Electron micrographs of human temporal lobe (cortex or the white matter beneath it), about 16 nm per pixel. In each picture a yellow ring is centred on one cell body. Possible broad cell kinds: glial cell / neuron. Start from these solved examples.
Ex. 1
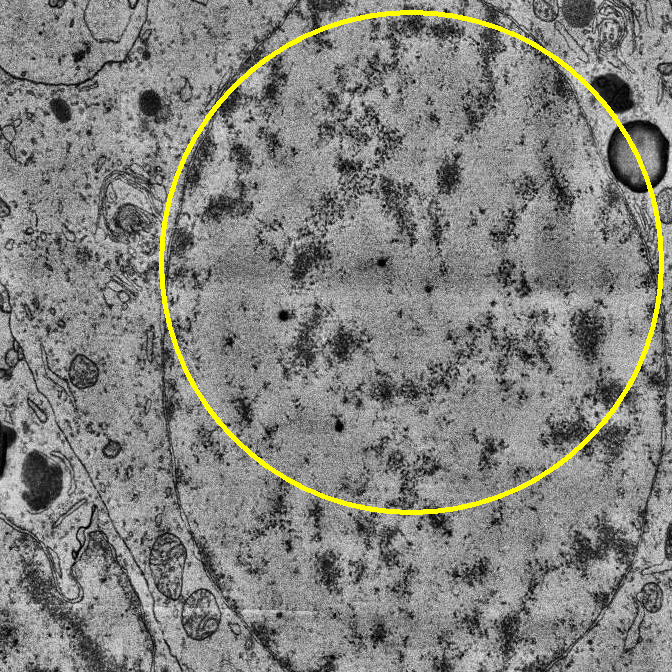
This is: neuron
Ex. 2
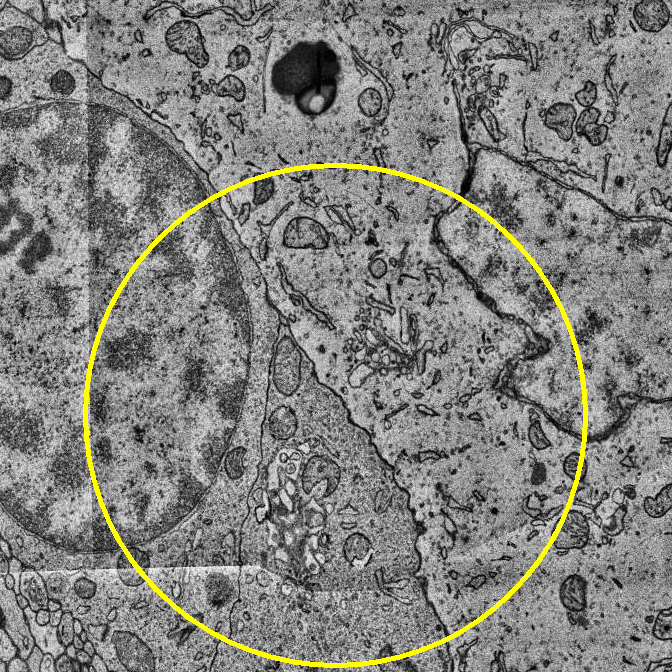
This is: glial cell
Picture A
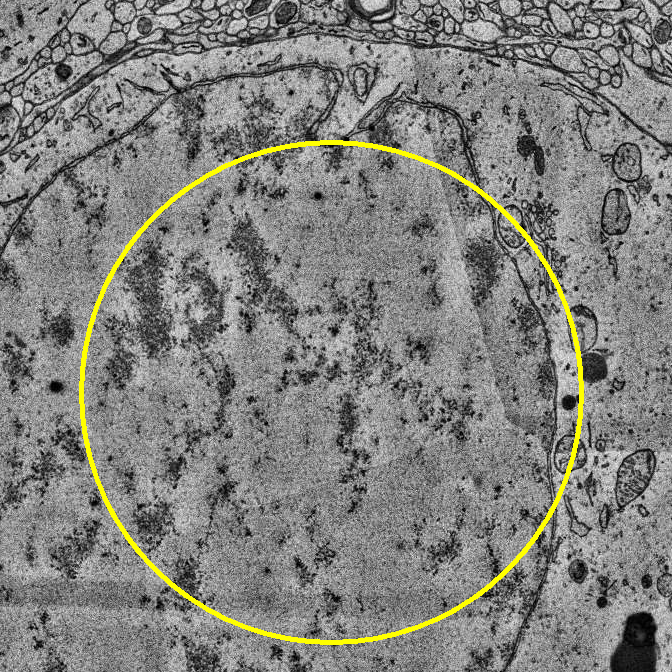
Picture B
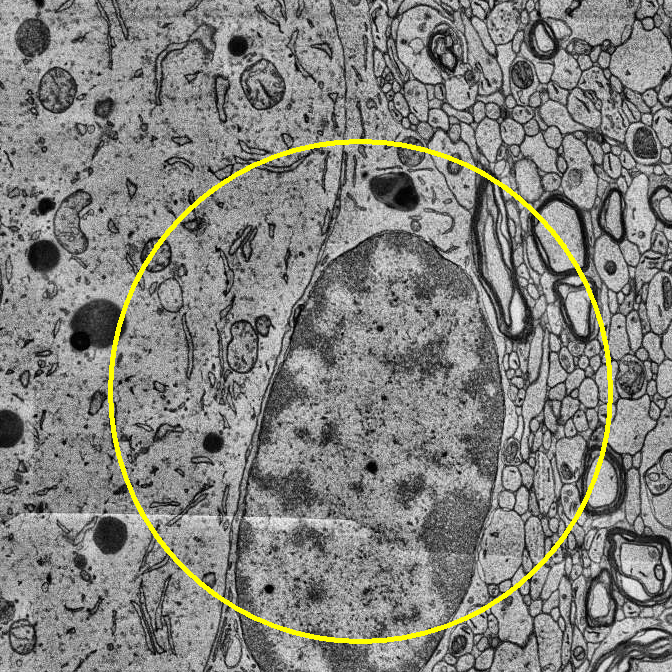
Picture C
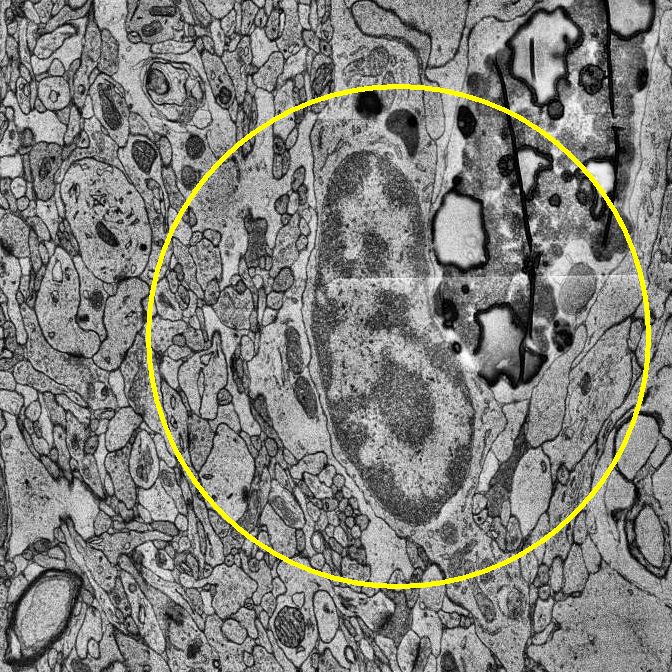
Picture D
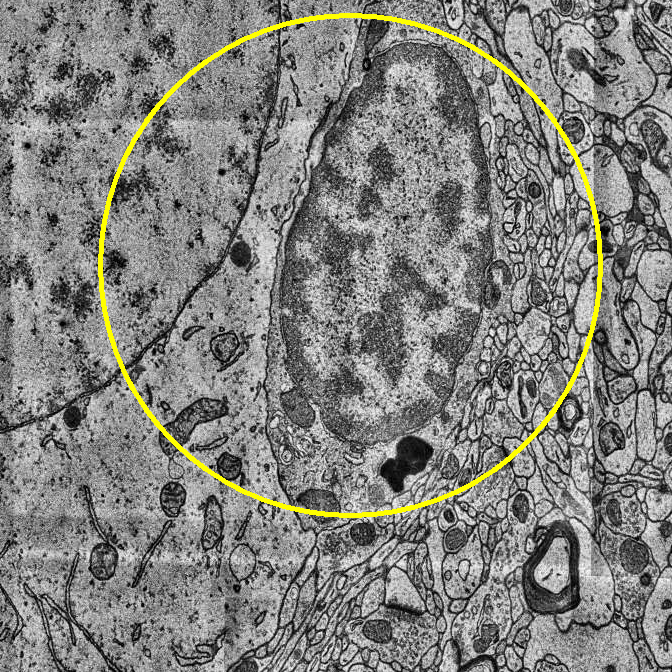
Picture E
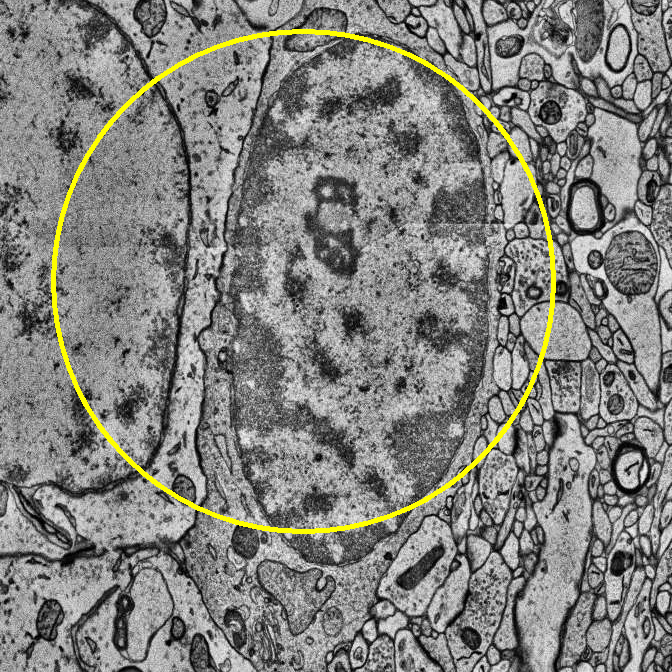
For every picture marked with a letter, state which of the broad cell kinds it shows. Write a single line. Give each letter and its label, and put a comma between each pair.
A neuron, B glial cell, C glial cell, D glial cell, E glial cell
